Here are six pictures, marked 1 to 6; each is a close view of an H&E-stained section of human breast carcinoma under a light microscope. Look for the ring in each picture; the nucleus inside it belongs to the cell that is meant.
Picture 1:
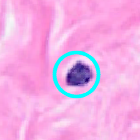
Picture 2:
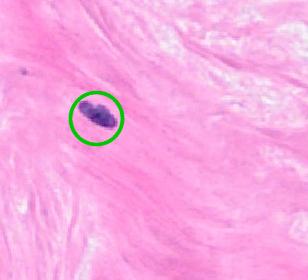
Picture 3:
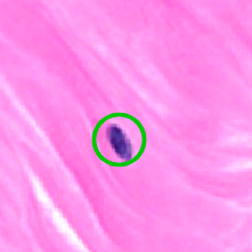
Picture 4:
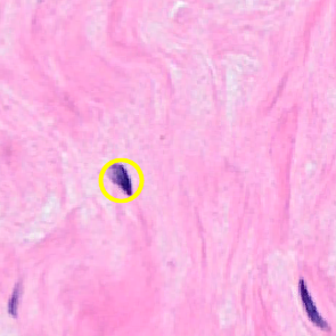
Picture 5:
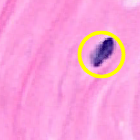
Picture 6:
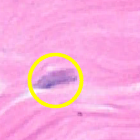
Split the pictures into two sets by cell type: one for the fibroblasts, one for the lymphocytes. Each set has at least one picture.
1: lymphocyte
2: lymphocyte
3: lymphocyte
4: fibroblast
5: lymphocyte
6: fibroblast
